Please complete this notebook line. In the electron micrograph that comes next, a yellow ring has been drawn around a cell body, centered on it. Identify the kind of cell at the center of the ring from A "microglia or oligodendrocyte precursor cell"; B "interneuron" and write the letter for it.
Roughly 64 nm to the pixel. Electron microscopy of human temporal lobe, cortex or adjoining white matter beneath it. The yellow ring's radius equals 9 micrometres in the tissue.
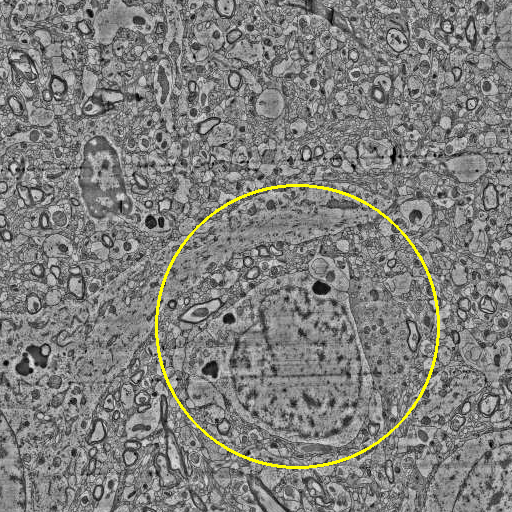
B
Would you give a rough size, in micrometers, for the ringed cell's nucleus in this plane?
Roughly 9 micrometres across for the nucleus, in this plane.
